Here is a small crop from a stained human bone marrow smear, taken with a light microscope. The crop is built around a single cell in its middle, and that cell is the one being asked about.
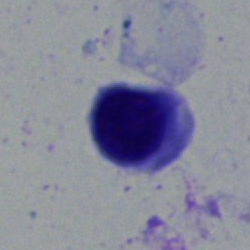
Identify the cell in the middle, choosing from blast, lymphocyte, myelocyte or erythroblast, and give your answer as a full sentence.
The cell positioned in the middle of the field is an erythroblast.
